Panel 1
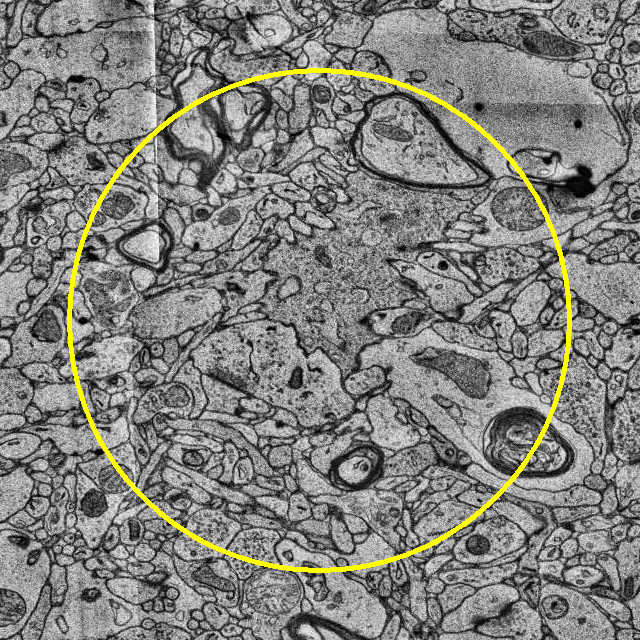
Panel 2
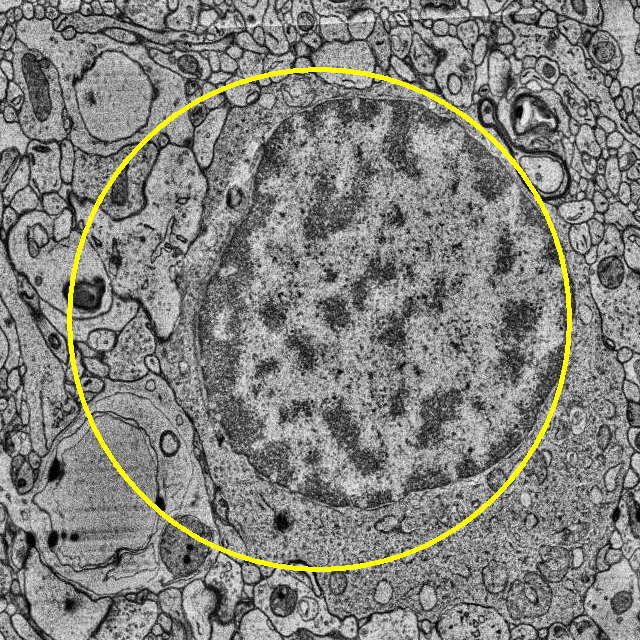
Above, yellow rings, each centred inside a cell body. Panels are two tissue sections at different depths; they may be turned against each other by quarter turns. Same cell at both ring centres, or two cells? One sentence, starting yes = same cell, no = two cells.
Yes, the two yellow circles hold the same cell.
